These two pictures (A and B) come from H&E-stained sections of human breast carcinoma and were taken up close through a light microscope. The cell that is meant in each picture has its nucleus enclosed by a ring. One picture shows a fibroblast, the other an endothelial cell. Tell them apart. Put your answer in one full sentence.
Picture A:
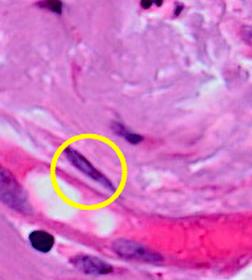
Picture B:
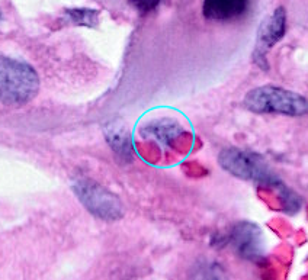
Picture B shows an endothelial cell, while picture A shows a fibroblast.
